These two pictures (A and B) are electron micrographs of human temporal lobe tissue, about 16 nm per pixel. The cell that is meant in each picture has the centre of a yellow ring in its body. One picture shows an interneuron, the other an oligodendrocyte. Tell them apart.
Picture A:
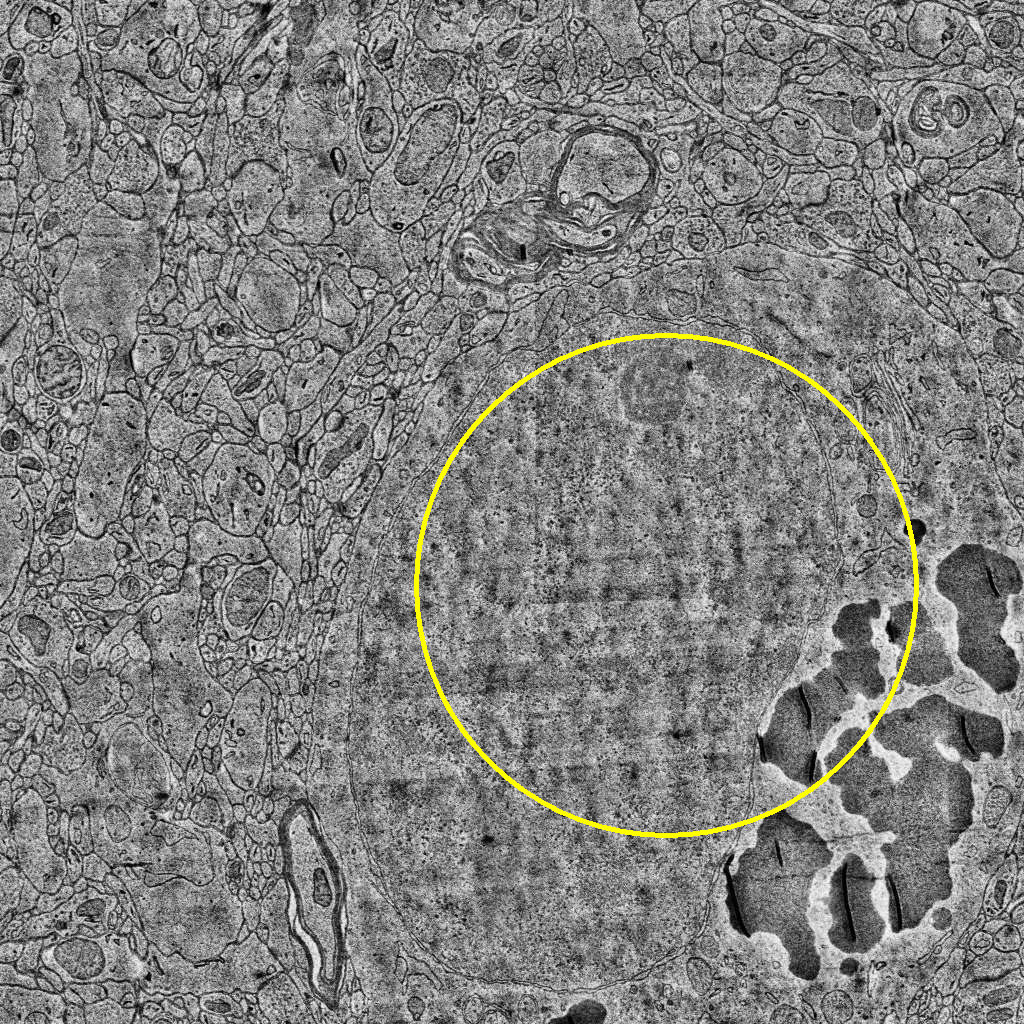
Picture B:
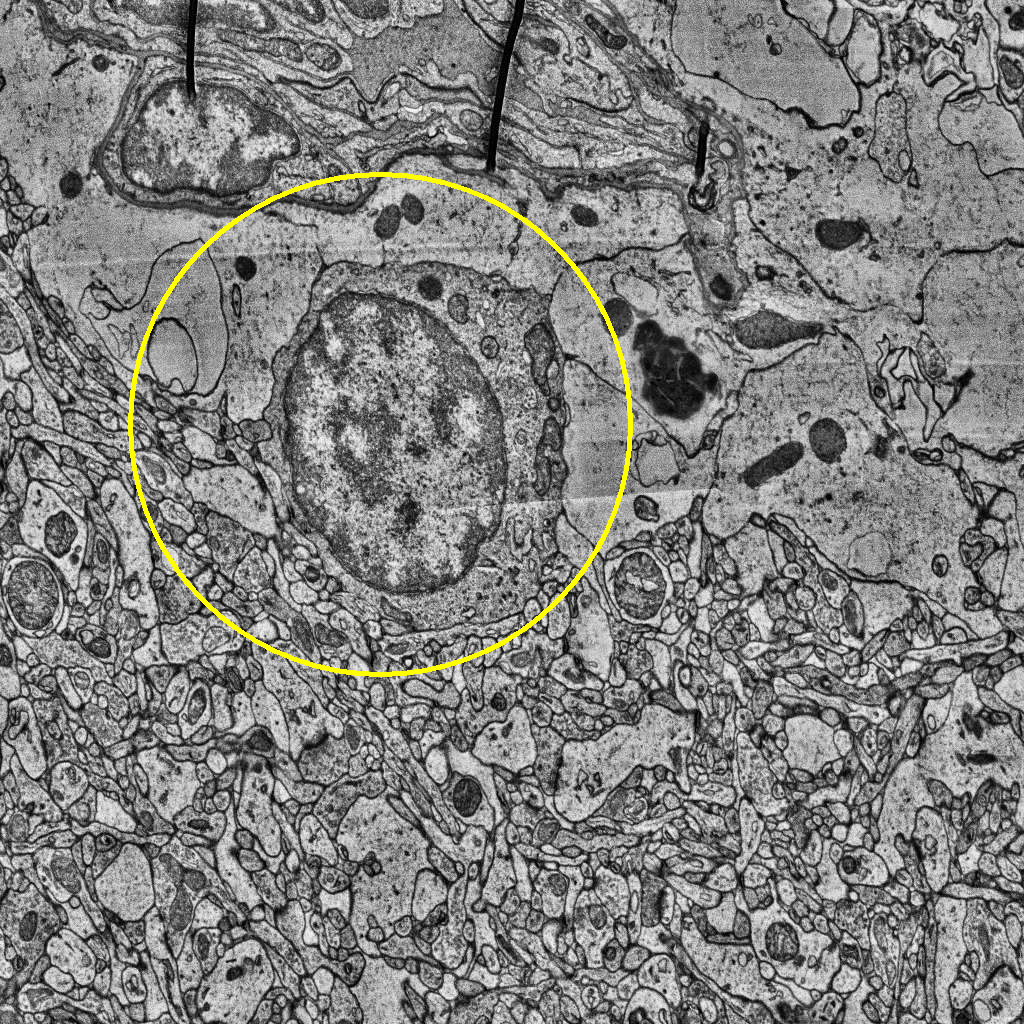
It is picture A that shows an interneuron, and picture B that shows an oligodendrocyte.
